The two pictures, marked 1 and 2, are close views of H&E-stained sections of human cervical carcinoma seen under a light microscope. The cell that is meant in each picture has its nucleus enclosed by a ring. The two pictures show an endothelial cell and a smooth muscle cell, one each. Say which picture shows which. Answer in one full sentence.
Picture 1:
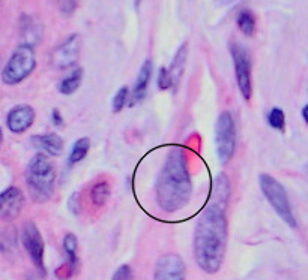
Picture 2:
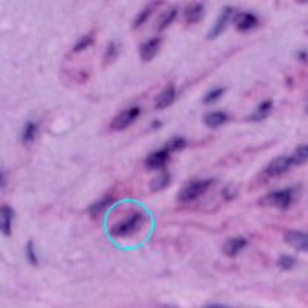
In picture 1 the cell is an endothelial cell; in picture 2, a smooth muscle cell.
